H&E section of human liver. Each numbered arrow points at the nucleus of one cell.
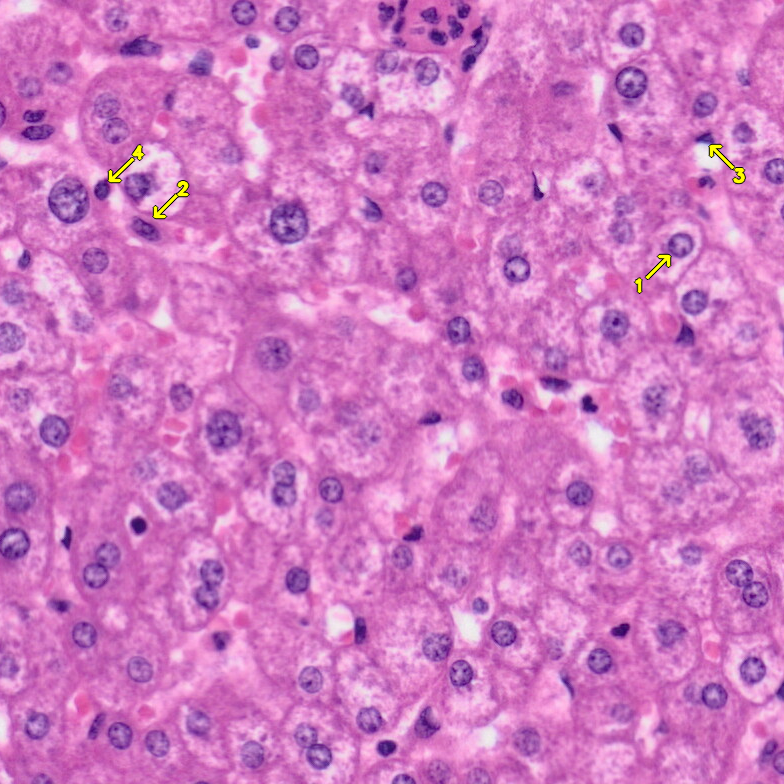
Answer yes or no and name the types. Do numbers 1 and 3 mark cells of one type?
No, cell 1 is a hepatocyte and cell 3 is an endothelial cell.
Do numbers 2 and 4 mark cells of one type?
No, cell 2 is a Kupffer cell and cell 4 is a lymphocyte.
